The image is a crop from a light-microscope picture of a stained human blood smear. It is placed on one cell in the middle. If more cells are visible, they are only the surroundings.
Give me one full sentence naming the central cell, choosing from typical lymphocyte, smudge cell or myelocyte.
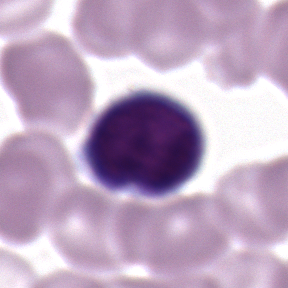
In the middle of this smear crop is a typical lymphocyte.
